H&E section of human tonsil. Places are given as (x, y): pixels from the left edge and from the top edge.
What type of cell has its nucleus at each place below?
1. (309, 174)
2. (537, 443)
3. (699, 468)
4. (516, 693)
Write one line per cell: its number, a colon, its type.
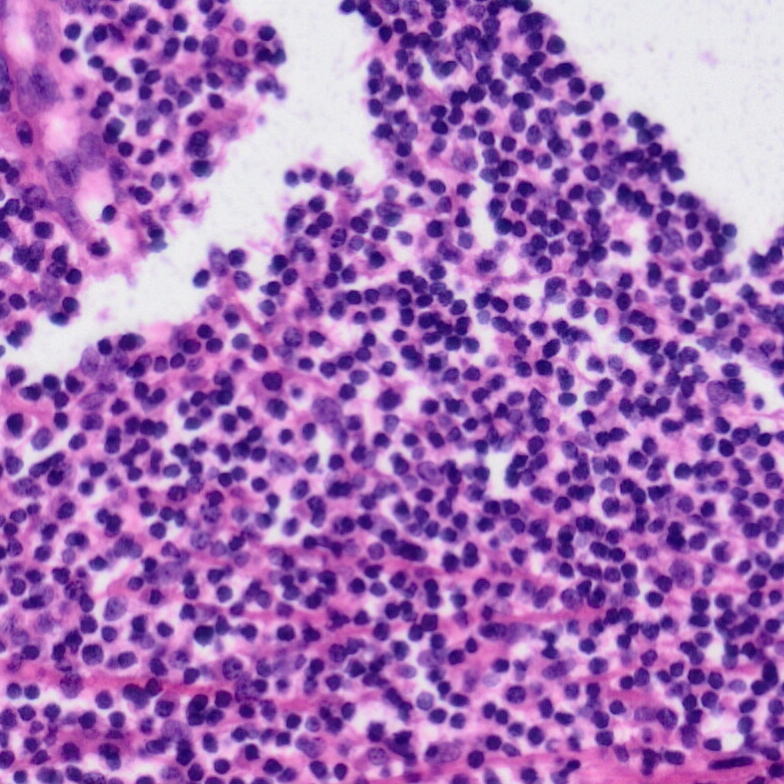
1: small lymphocyte
2: small lymphocyte
3: small lymphocyte
4: plasma cell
